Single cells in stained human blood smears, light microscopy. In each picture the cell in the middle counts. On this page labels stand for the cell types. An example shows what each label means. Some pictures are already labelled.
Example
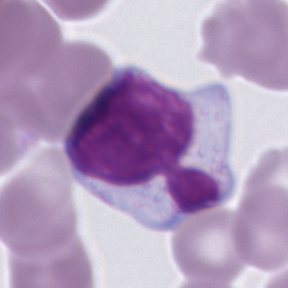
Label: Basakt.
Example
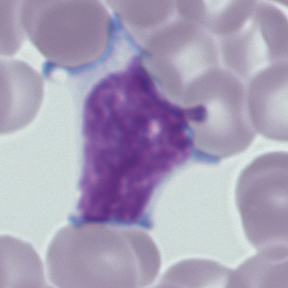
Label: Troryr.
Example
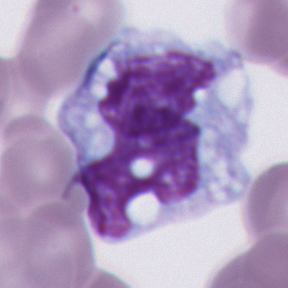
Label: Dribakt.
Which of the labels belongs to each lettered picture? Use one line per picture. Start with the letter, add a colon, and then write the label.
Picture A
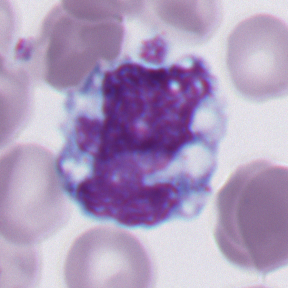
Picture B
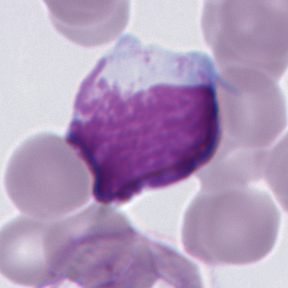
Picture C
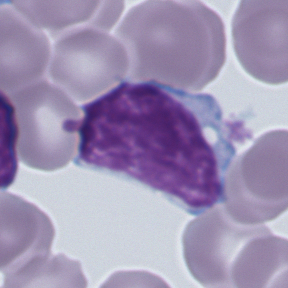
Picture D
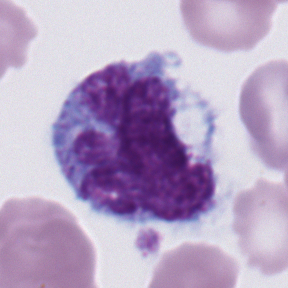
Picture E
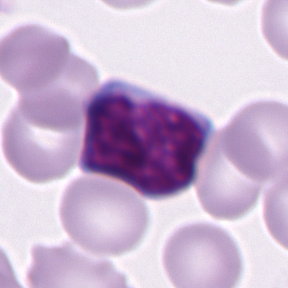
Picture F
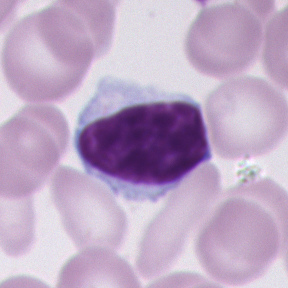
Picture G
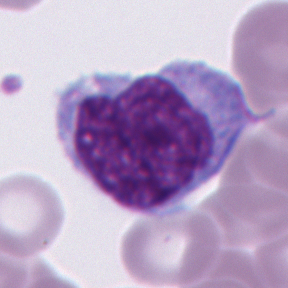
A: Dribakt.
B: Basakt.
C: Troryr.
D: Dribakt.
E: Troryr.
F: Troryr.
G: Dribakt.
